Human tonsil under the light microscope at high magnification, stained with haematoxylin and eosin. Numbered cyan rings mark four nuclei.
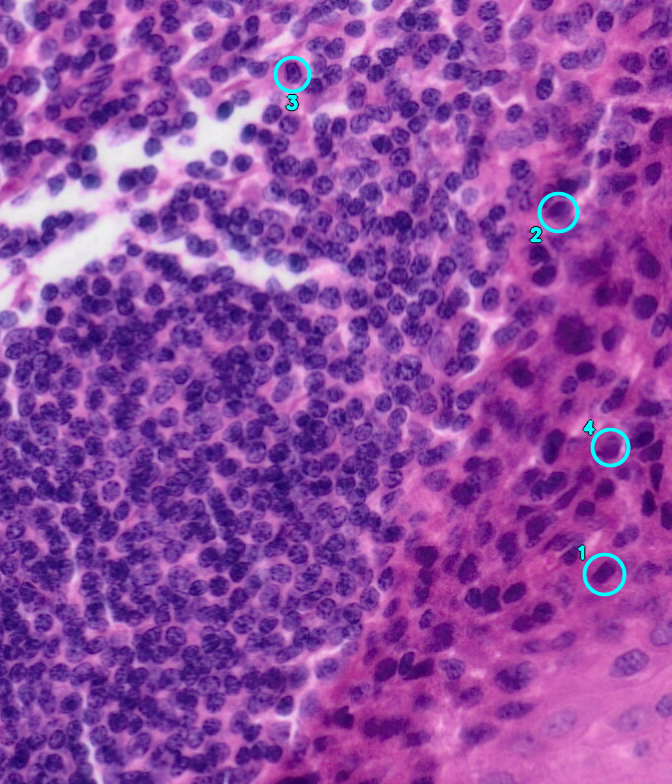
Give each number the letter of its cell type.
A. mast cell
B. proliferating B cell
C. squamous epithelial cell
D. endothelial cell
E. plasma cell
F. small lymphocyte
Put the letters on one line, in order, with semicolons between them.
C; C; E; C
